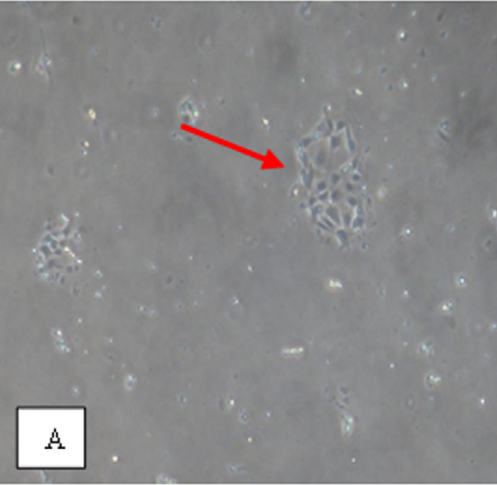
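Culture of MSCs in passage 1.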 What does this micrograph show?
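The arrow points to a small colony of flattened cells attached to the surface, packed closely together with polygonal outlines. Another small cluster lies at the left edge. Many small bright round bodies lie scattered between the colonies.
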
